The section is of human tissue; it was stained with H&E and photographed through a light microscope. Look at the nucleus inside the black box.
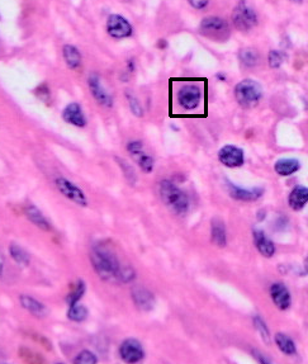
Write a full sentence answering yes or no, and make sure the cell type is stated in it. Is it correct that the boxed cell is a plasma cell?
Yes, the identity of the boxed cell is that of a plasma cell.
